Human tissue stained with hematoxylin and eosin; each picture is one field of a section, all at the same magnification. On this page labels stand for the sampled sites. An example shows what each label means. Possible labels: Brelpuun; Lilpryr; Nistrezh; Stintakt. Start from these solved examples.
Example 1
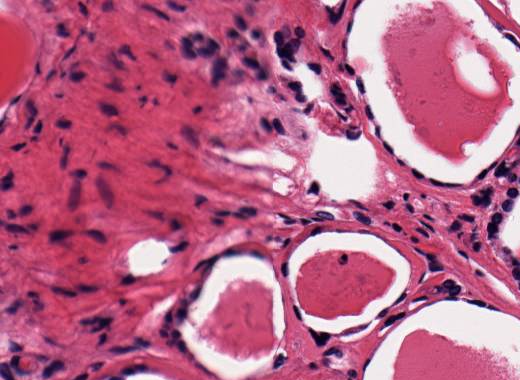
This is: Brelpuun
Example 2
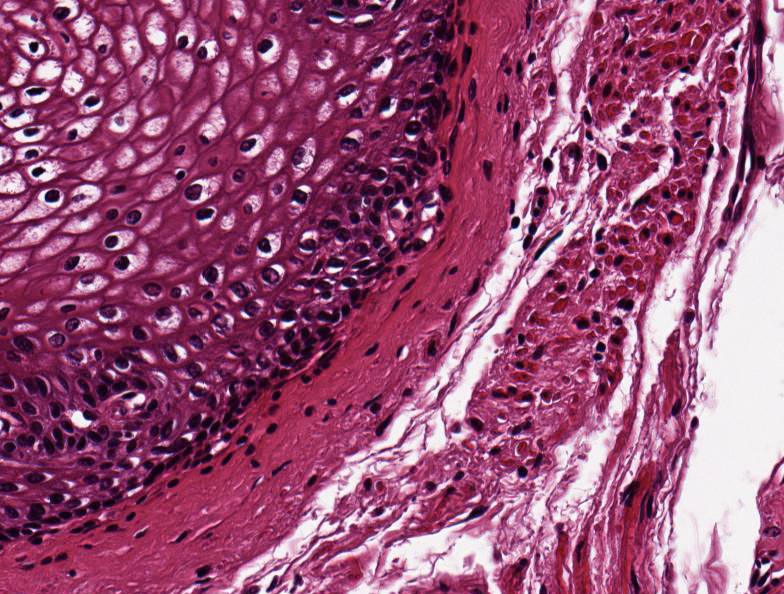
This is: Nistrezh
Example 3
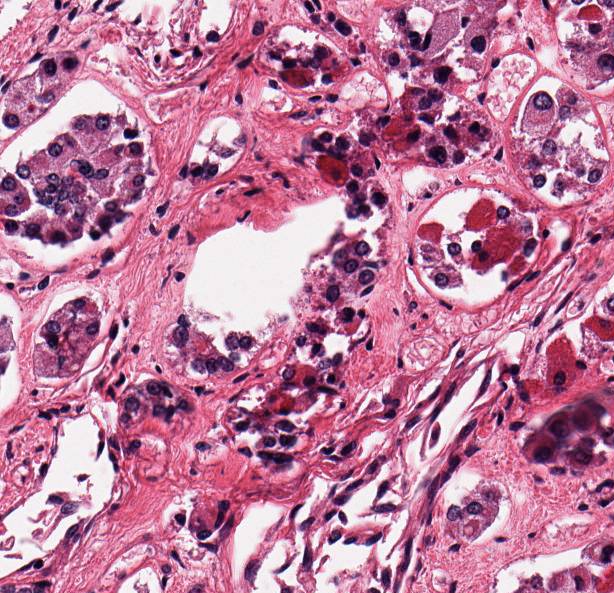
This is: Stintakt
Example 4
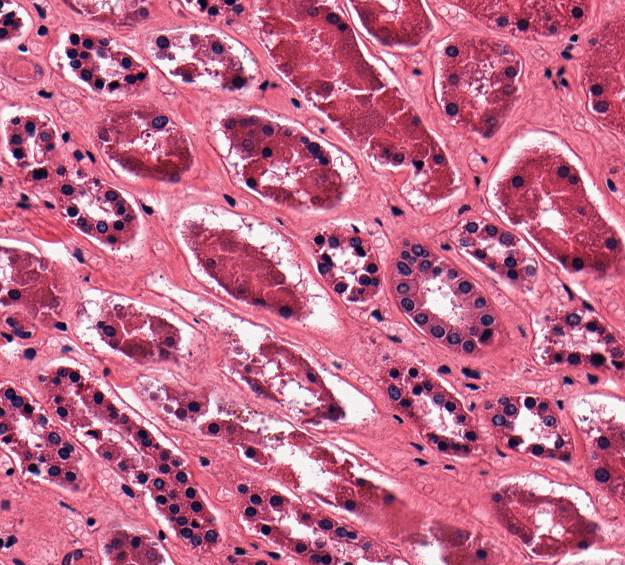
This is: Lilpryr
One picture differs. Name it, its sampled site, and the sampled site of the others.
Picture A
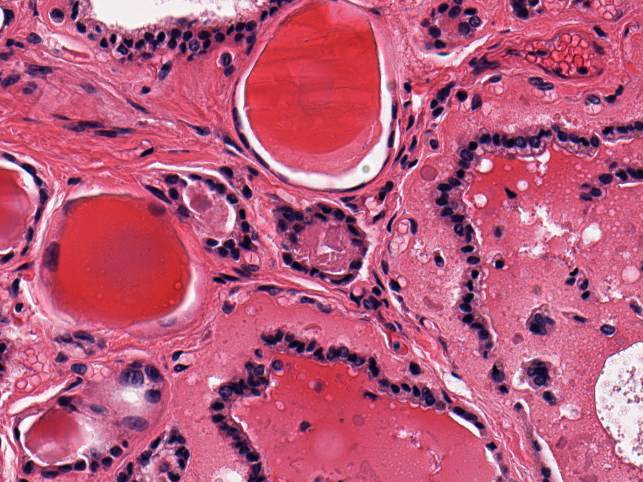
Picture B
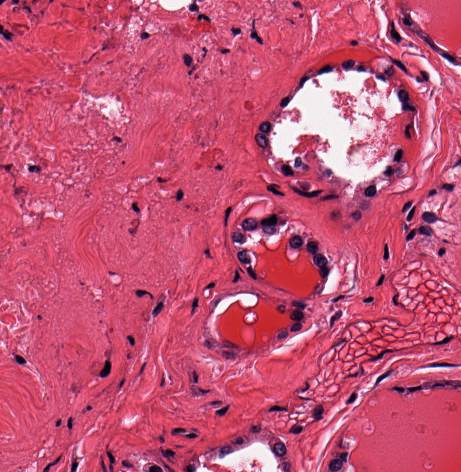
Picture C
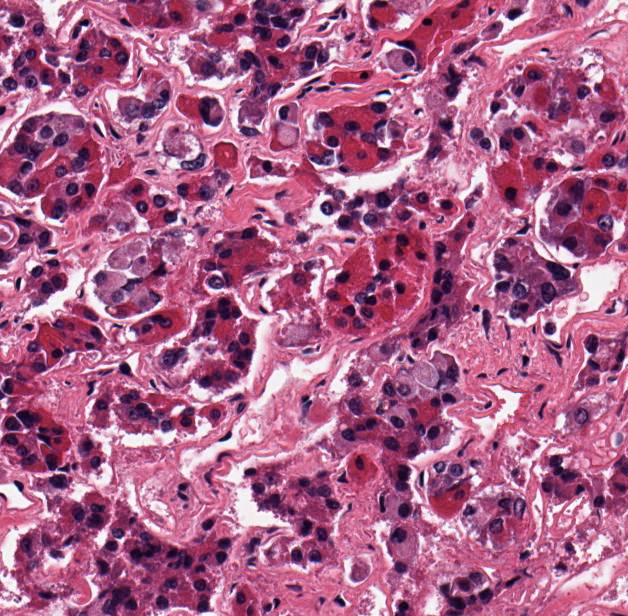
Exception: C, showing Stintakt. Remaining pictures: Brelpuun.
